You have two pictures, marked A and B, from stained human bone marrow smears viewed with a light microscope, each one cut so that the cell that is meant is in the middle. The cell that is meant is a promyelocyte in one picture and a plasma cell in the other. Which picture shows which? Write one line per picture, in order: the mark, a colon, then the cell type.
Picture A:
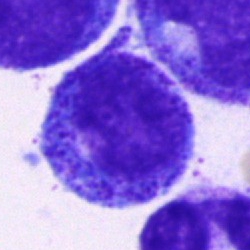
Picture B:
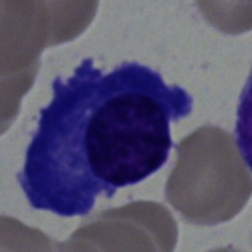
A: promyelocyte
B: plasma cell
